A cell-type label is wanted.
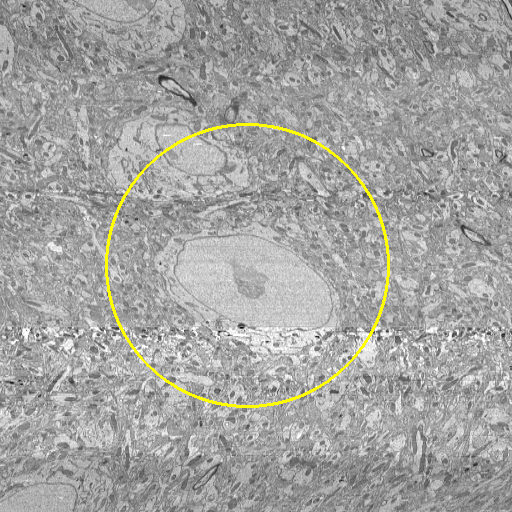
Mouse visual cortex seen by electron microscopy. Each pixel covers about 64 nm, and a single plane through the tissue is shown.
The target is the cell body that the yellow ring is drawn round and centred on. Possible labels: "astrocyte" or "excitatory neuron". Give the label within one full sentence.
Of the labels offered, the cell in the middle of the yellow ring is an excitatory neuron.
